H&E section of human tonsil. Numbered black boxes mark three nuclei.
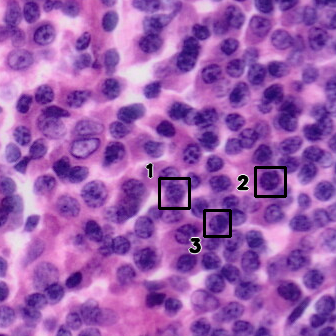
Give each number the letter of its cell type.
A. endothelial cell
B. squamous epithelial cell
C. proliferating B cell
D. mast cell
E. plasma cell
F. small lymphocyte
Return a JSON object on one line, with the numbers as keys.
{"1": "E", "2": "E", "3": "F"}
